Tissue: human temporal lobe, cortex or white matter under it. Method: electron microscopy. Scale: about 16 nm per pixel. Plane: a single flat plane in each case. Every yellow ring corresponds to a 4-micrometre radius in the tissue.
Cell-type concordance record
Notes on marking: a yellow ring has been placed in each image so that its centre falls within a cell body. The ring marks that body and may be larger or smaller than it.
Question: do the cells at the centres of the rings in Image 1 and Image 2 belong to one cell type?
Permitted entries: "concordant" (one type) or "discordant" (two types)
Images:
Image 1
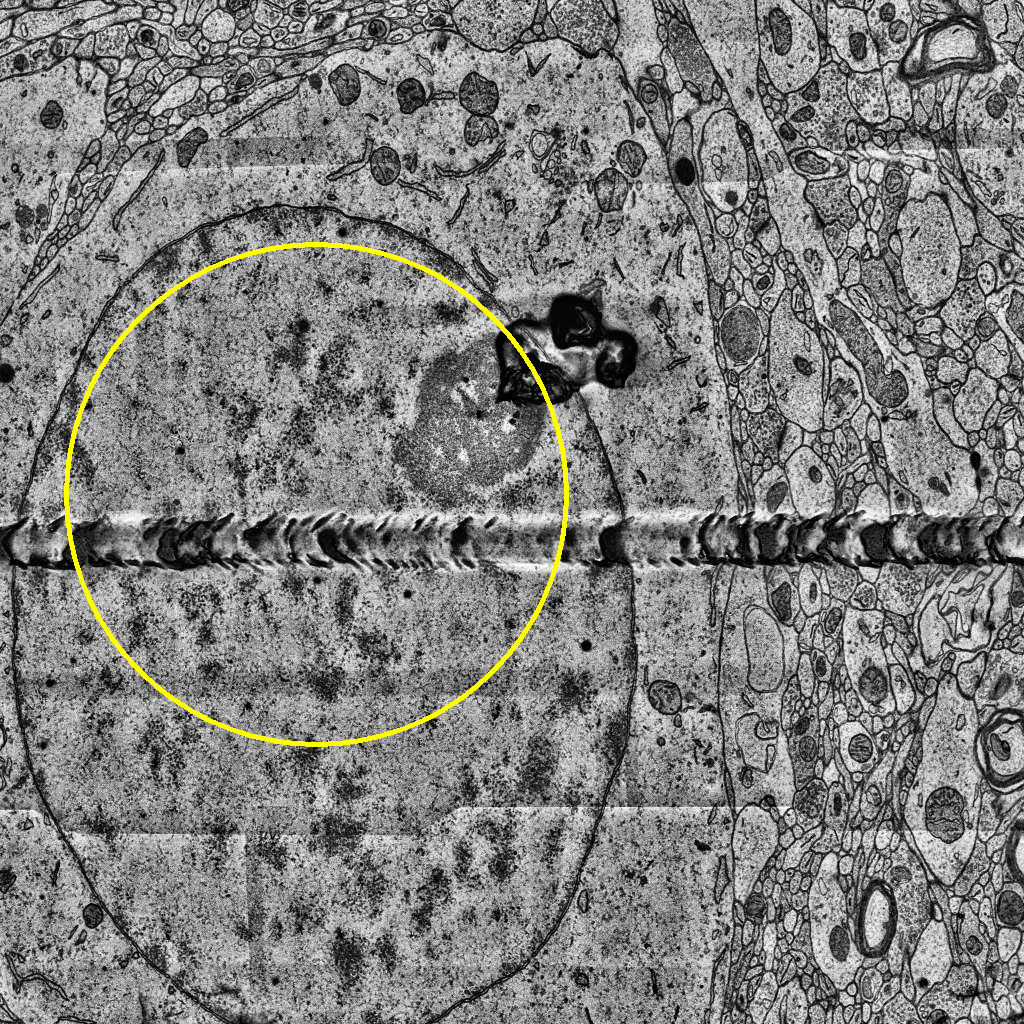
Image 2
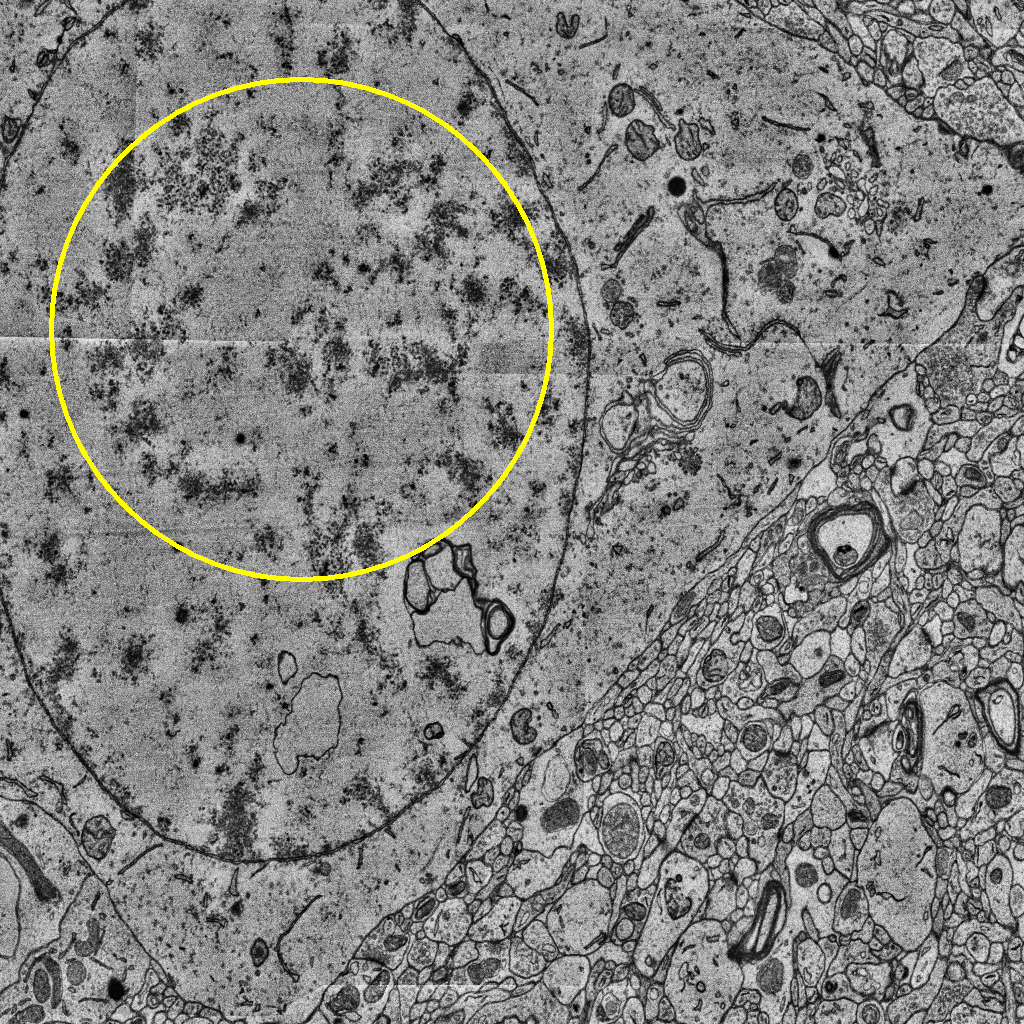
concordant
